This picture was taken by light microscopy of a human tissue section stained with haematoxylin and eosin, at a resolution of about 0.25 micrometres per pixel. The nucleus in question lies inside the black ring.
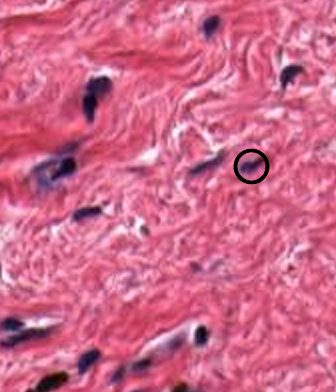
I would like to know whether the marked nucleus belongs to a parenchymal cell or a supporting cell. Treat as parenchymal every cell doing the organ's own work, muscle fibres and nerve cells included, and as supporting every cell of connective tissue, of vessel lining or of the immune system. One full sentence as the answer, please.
Designated as that of a supporting cell is the marked nucleus.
